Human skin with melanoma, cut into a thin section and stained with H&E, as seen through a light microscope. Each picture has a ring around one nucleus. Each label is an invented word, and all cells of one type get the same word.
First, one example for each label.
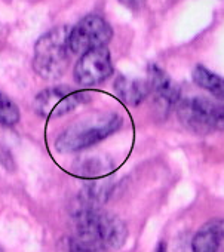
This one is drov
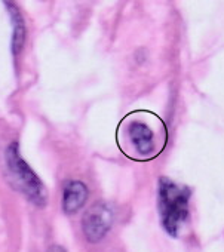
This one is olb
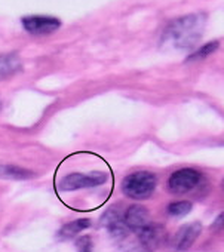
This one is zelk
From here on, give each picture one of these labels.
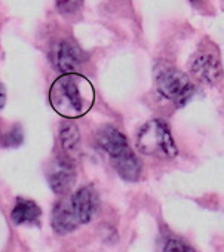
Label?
drov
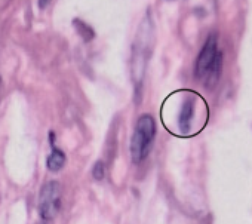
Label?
zelk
